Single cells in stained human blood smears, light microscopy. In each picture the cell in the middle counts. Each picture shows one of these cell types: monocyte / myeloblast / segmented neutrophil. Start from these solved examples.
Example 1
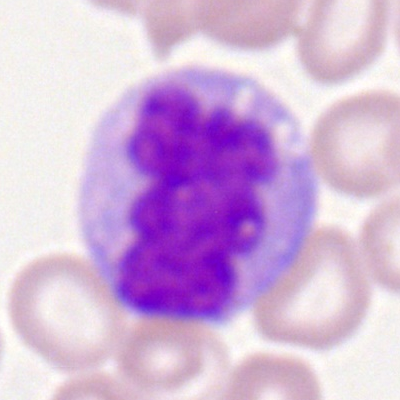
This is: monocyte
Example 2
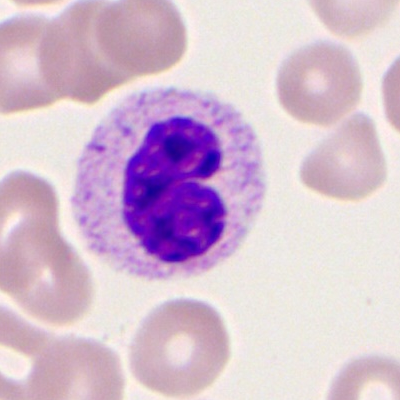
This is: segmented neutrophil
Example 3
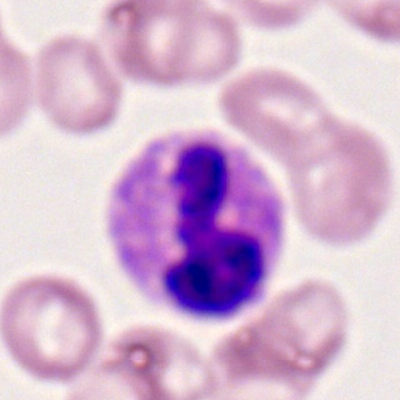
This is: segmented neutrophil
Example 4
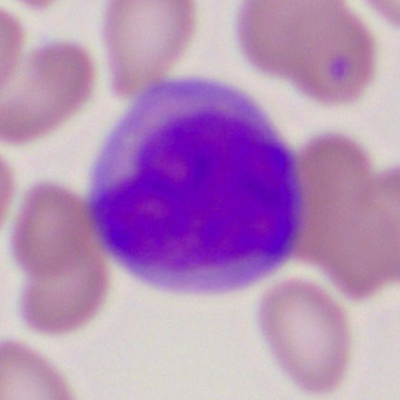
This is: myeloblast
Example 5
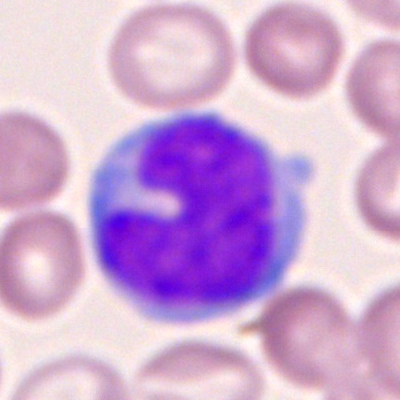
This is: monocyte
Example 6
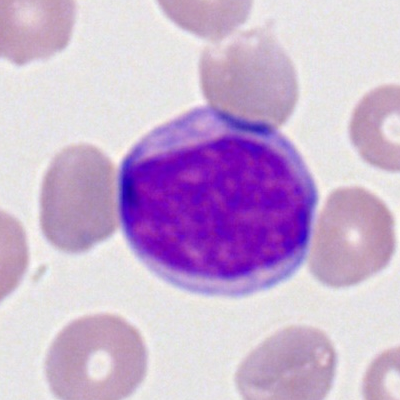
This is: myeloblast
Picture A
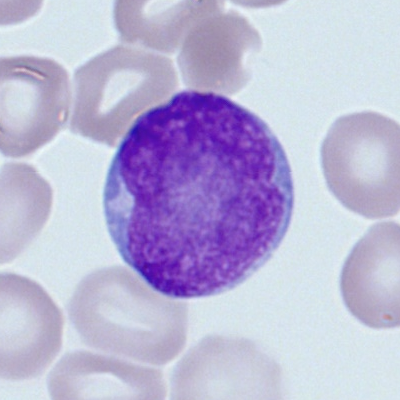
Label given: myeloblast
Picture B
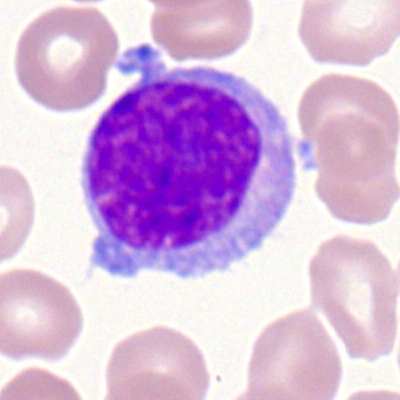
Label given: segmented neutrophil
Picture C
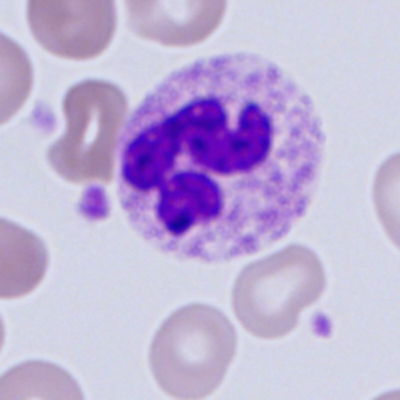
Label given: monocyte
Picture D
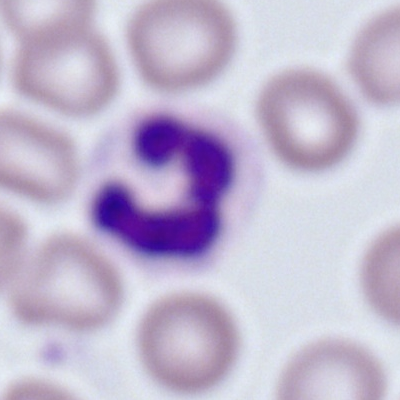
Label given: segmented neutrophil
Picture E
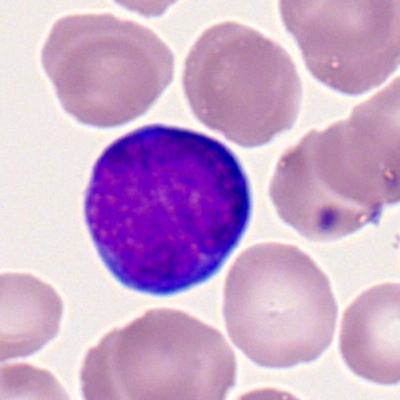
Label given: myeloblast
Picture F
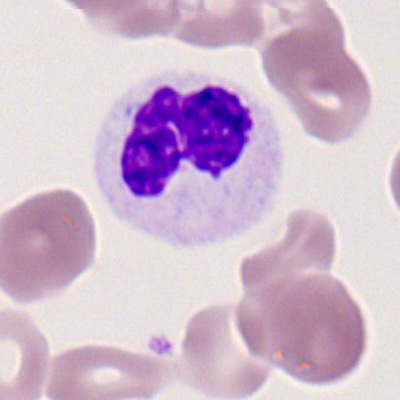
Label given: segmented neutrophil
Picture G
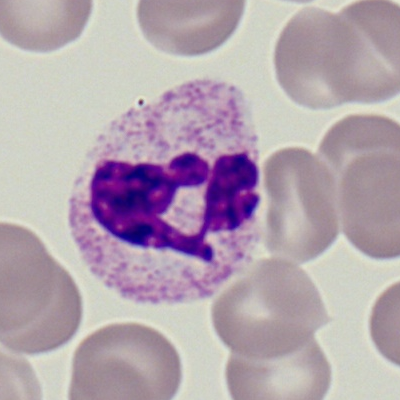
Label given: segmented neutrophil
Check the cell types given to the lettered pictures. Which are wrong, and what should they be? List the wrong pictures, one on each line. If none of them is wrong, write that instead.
B: change segmented neutrophil to myeloblast
C: change monocyte to segmented neutrophil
